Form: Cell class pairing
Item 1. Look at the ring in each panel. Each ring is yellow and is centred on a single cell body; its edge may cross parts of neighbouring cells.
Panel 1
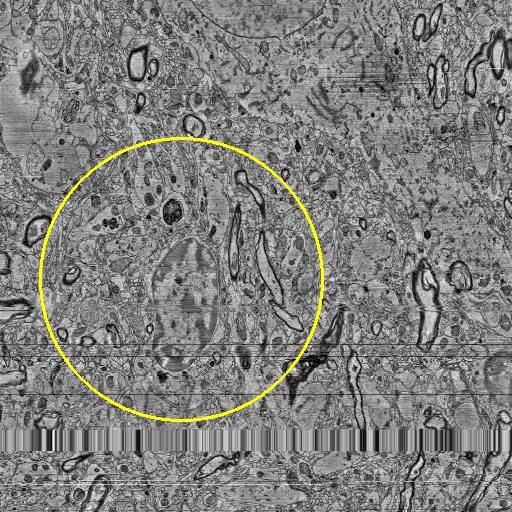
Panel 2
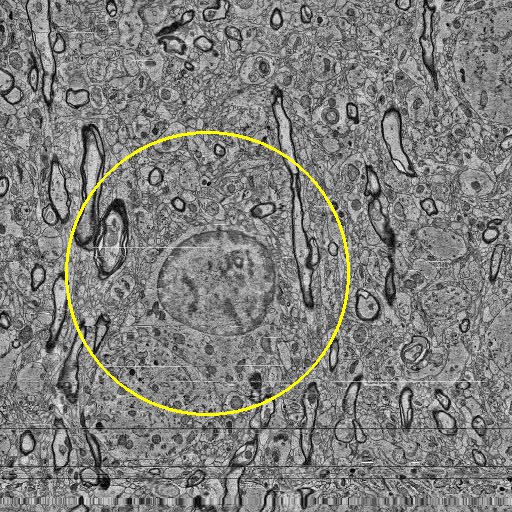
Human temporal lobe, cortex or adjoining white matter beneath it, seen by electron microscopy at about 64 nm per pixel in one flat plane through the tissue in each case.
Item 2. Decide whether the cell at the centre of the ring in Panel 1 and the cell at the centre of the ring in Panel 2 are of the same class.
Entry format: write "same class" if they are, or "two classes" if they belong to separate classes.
two classes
